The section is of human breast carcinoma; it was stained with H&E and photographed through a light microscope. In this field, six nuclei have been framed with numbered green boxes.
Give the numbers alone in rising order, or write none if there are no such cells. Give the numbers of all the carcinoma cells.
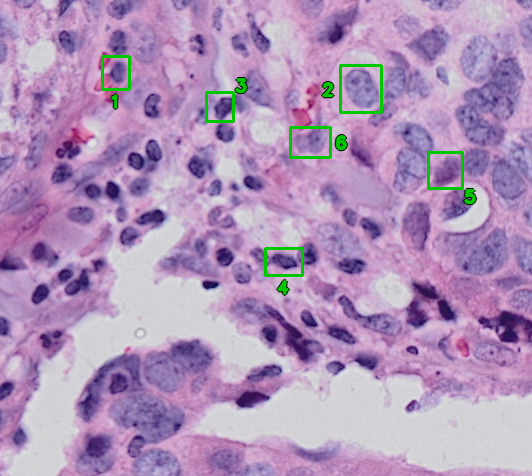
2, 5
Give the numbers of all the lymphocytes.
3, 4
